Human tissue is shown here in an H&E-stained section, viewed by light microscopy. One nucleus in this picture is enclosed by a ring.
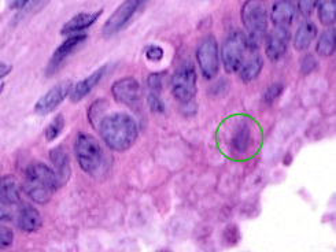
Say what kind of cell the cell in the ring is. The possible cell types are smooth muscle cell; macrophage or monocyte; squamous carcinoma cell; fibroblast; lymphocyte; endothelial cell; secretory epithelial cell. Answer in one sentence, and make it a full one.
In this tissue section, the cell in the ring is to be classed as a secretory epithelial cell.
